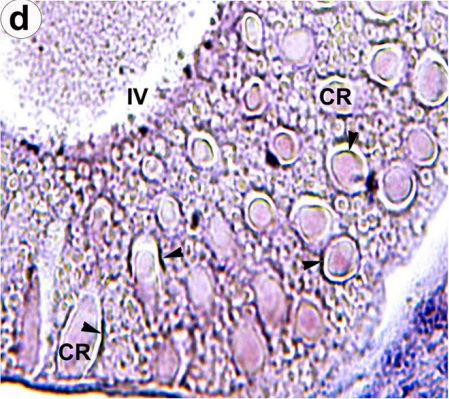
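A high magnification of the outer cytoplasm of a mature oocyte, where rounded and oval rods, many surrounded by a clear halo, sit among densely packed small granules. Near the oocyte surface the rods appear elongated and aligned side by side, while deeper ones are cut across and look round.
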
